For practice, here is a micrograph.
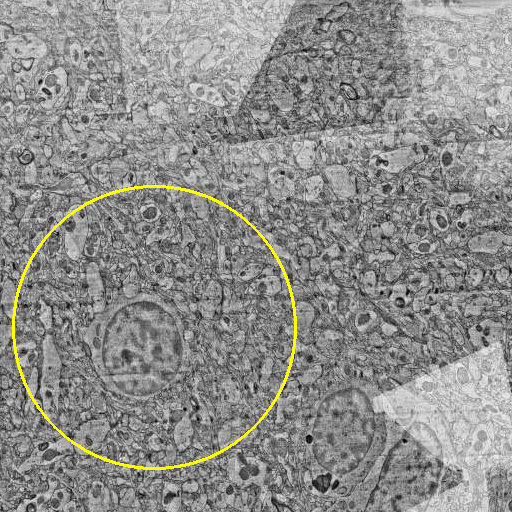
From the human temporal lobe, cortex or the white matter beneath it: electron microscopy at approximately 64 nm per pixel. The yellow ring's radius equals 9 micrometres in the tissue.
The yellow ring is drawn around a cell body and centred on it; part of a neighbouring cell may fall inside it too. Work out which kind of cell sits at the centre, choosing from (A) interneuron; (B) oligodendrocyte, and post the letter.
B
